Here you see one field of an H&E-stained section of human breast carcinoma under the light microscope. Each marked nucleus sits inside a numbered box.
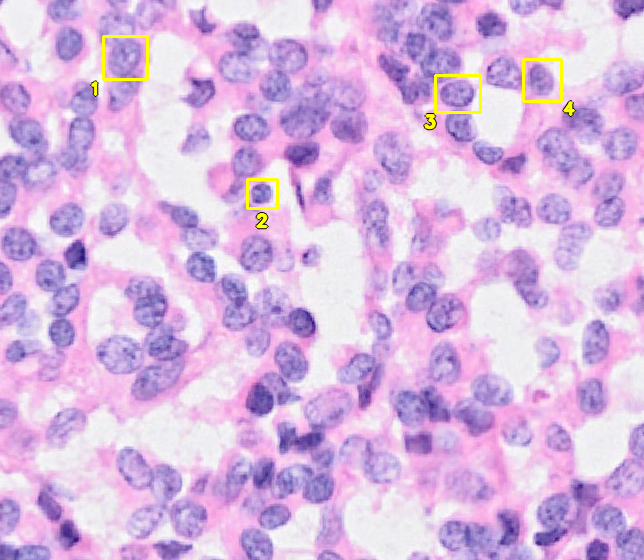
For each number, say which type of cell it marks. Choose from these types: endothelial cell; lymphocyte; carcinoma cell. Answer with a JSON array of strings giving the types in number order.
["carcinoma cell", "lymphocyte", "carcinoma cell", "carcinoma cell"]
